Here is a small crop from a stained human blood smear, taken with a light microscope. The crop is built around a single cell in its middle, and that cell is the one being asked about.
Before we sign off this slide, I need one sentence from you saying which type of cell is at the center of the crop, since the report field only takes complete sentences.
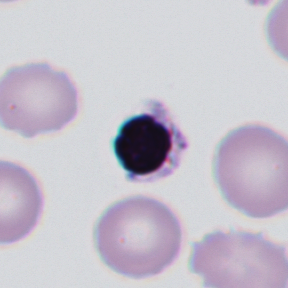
Classification of the middle cell gives an erythroblast.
